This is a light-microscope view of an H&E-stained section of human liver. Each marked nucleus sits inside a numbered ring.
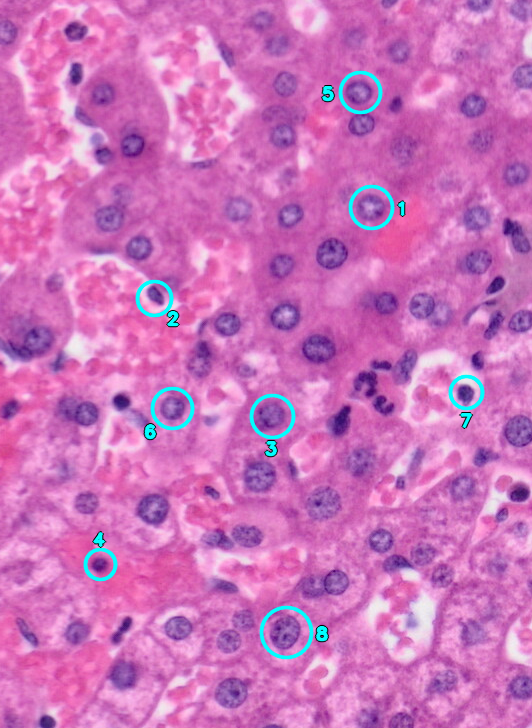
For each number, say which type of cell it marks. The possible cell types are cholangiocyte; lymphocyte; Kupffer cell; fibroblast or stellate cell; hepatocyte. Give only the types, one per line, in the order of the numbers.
hepatocyte
lymphocyte
hepatocyte
lymphocyte
hepatocyte
hepatocyte
lymphocyte
hepatocyte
